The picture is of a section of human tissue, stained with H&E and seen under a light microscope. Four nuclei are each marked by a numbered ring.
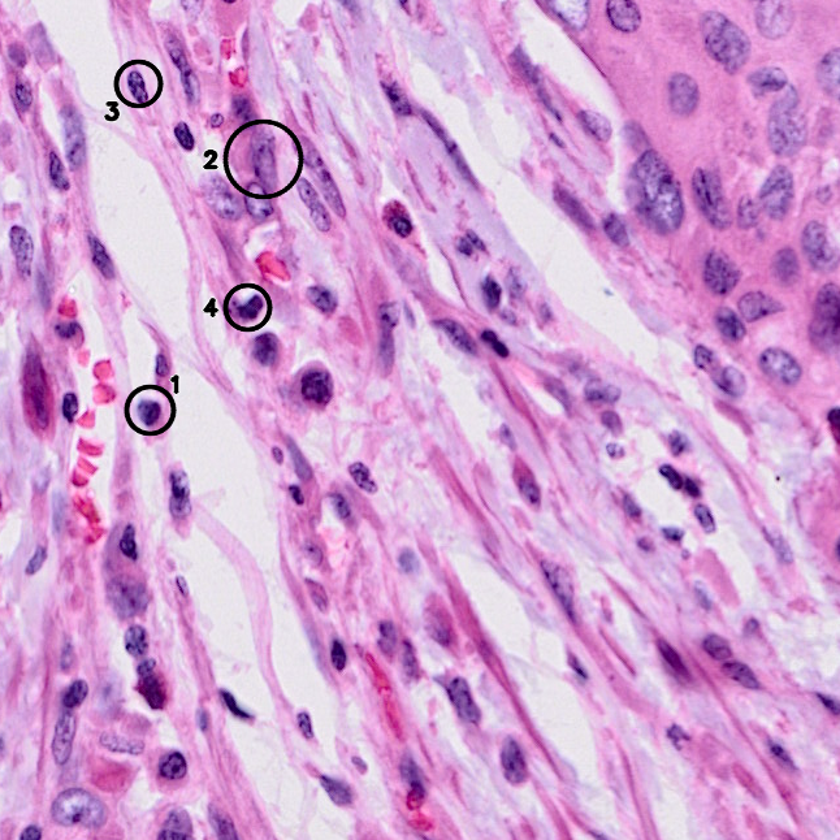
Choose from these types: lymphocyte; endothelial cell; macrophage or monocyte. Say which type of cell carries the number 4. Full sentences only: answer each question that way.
The identity of cell 4 is that of a lymphocyte.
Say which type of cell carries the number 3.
The numbered cell 3 is identified here as a lymphocyte.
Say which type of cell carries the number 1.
Numbered cell 1 is a lymphocyte in this tissue section.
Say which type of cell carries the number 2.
The mark numbered 2 indicates the nucleus of an endothelial cell.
